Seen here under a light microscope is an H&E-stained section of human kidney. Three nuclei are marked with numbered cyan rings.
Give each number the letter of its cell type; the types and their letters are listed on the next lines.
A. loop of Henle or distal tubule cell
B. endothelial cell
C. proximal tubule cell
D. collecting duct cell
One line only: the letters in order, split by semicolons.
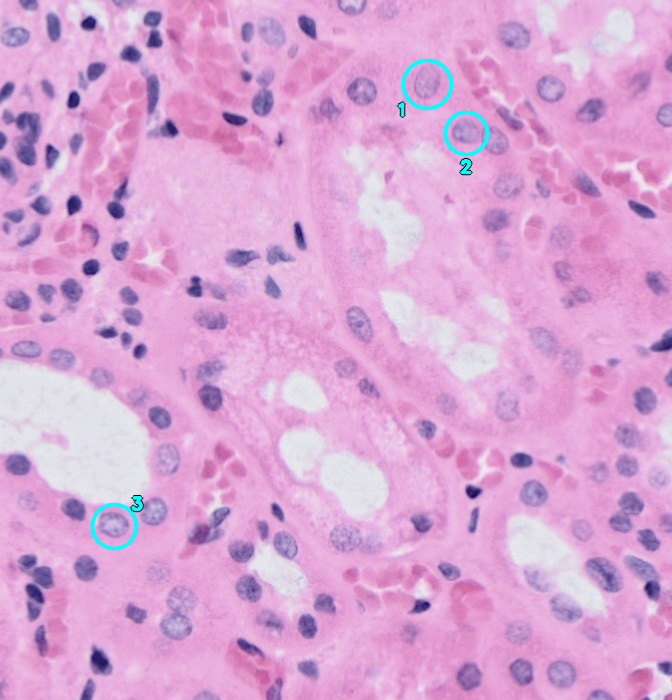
C; C; A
